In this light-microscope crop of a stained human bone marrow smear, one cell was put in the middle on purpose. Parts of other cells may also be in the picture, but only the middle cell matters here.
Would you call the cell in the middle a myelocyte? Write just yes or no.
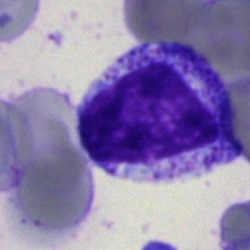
yes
